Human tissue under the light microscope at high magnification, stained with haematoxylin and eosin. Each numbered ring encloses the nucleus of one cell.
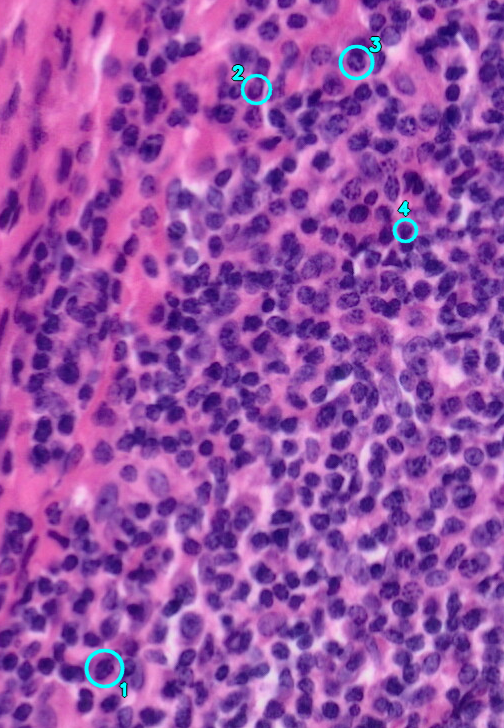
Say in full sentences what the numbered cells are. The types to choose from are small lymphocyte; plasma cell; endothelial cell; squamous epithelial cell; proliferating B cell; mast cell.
Cells 1, 2 and 3 are plasma cells. Cell 4 is a small lymphocyte.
